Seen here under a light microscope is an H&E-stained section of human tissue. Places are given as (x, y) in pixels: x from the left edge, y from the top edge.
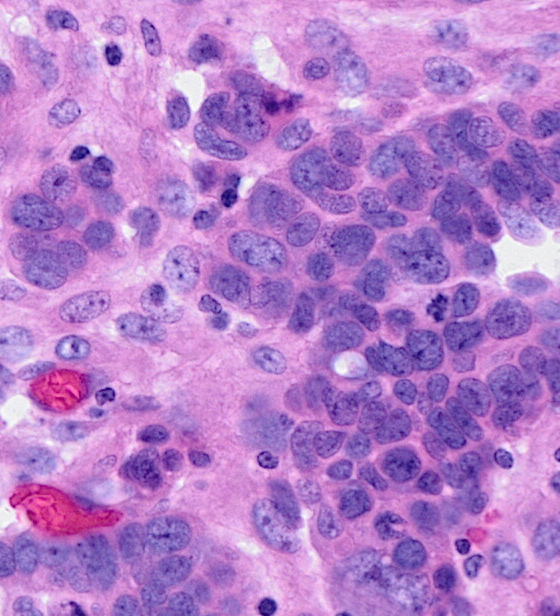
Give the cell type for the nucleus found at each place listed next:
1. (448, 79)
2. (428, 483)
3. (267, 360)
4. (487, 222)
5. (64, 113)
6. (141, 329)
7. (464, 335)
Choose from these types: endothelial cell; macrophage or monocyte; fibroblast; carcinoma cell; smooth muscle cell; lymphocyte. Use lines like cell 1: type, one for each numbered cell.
cell 1: fibroblast
cell 2: carcinoma cell
cell 3: fibroblast
cell 4: carcinoma cell
cell 5: fibroblast
cell 6: fibroblast
cell 7: carcinoma cell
